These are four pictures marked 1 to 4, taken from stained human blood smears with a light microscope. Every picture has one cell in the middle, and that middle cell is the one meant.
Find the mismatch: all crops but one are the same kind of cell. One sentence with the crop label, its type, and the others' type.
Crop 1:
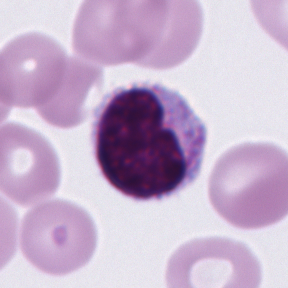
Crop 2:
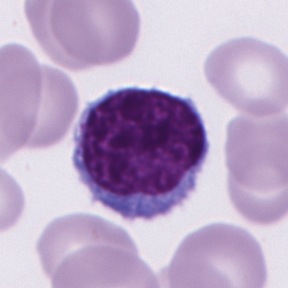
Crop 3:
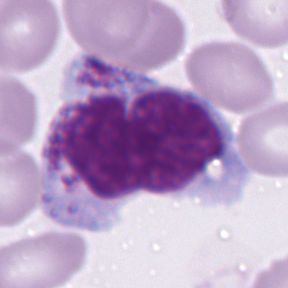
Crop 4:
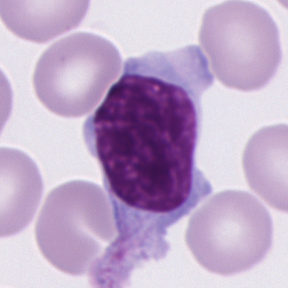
Unlike the rest, which all show large granular lymphocytes, crop 2 contains a typical lymphocyte.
